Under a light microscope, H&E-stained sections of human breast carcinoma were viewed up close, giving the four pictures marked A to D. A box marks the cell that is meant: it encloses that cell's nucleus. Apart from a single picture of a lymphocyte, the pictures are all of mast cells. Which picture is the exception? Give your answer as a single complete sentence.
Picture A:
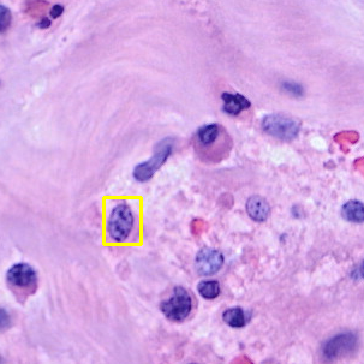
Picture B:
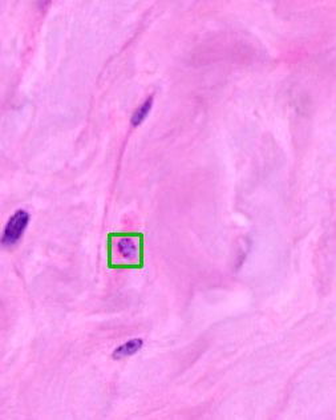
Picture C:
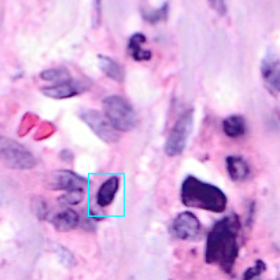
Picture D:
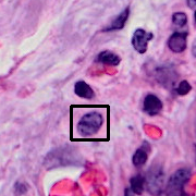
The picture with the lymphocyte is C.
